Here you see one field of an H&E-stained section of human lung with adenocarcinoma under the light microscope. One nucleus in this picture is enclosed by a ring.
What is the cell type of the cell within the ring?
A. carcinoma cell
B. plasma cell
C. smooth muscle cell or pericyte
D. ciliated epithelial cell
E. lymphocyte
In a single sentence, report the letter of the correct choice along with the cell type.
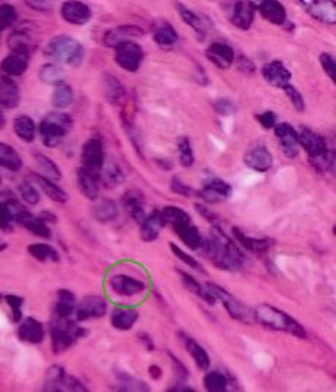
Here the cell within the ring is a lymphocyte, which makes option E correct.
